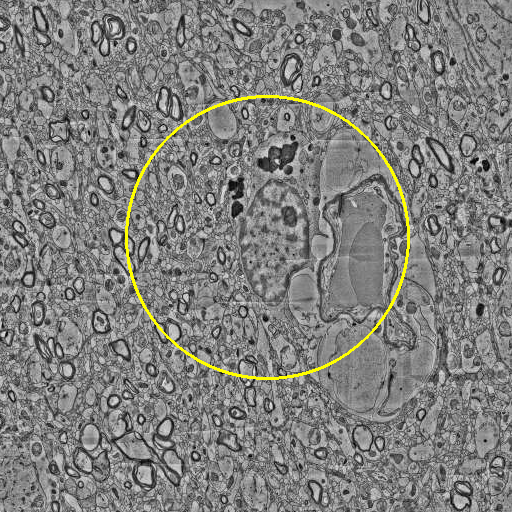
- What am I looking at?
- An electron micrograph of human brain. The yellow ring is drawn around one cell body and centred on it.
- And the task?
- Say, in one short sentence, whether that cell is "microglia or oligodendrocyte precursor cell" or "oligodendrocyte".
The cell in the middle of the ring is an oligodendrocyte.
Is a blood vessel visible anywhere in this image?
Yes.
